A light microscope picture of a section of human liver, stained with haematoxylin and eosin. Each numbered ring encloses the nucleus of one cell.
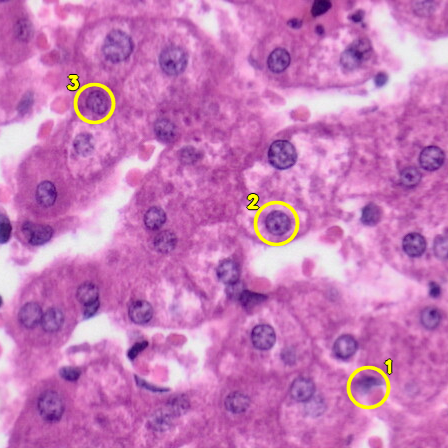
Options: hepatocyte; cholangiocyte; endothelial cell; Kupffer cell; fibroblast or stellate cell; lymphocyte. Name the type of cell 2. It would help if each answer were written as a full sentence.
The cell given label 2 is a hepatocyte.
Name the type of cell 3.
The marked cell with the number 3 is recognised as a hepatocyte.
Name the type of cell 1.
The cell pointed out as number 1 is an endothelial cell.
